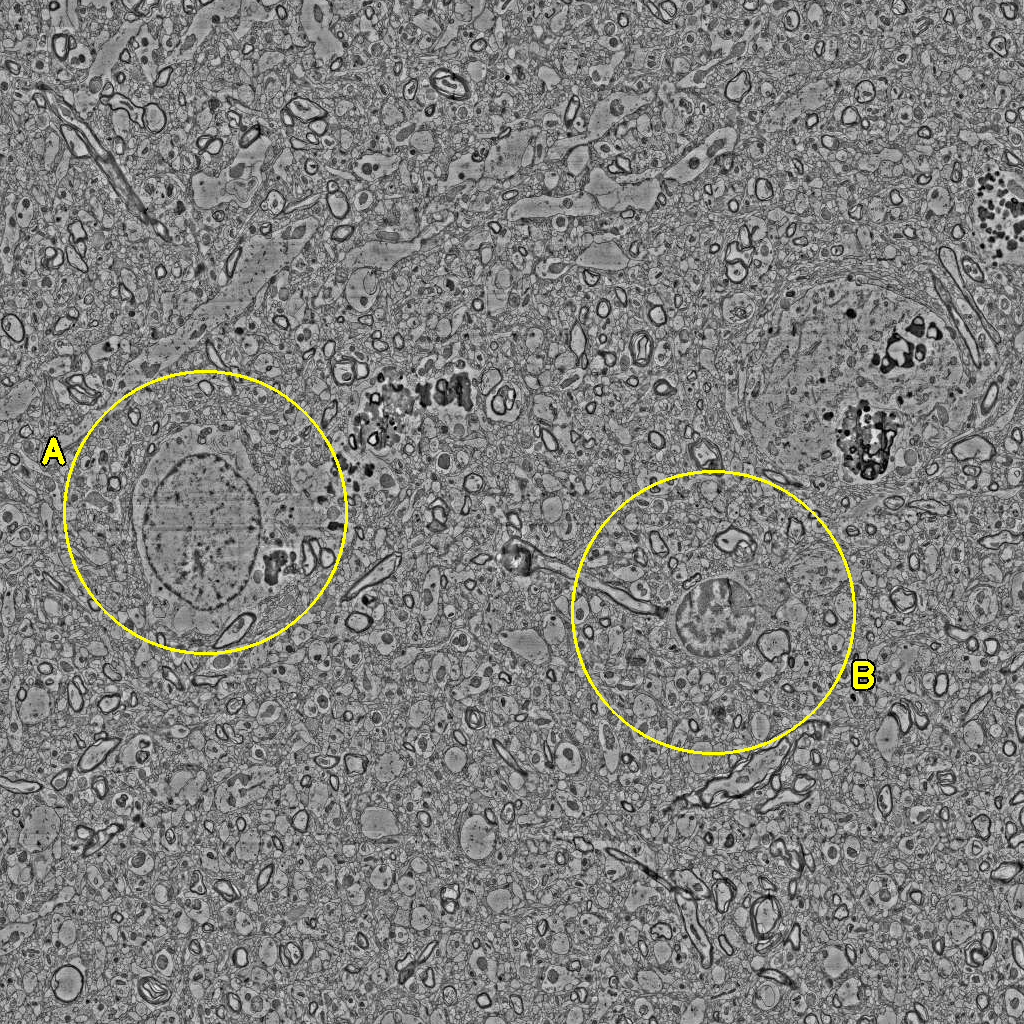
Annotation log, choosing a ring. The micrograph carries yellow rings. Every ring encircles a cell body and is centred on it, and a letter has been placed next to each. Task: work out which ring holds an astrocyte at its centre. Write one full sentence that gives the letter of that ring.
In the micrograph, the ring centred on the cell asked for carries the letter A.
